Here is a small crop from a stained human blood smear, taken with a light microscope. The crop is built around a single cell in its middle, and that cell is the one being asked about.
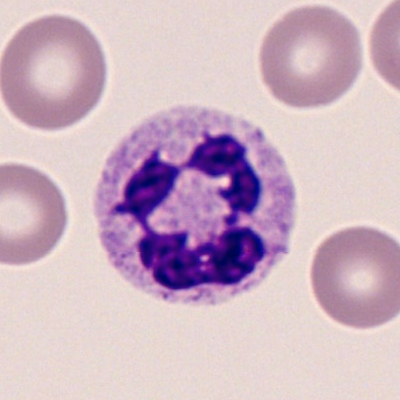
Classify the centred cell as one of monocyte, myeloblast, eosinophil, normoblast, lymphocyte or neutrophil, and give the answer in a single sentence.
In short, the cell at the center is a neutrophil.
